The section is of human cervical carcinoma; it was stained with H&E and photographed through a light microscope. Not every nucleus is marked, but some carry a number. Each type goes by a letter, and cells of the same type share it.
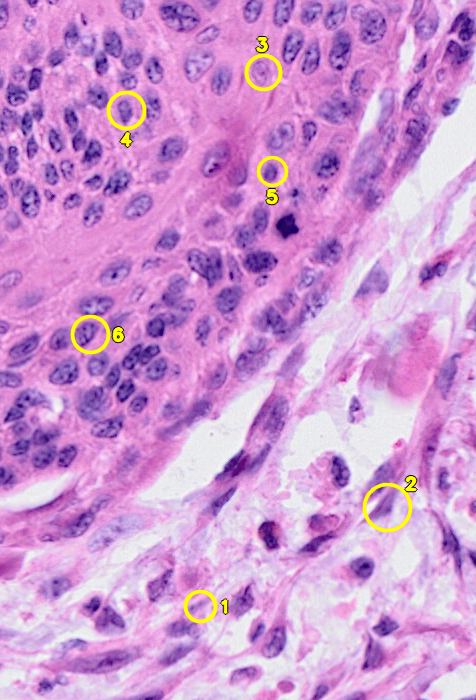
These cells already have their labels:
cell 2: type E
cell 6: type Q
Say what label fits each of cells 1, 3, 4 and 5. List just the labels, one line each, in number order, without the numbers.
type E
type Q
type Q
type Q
